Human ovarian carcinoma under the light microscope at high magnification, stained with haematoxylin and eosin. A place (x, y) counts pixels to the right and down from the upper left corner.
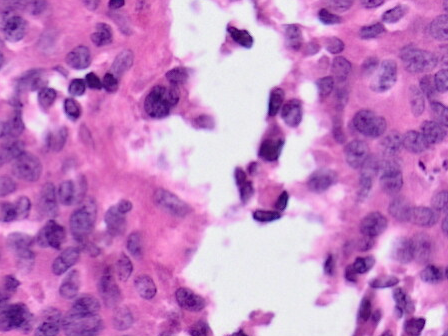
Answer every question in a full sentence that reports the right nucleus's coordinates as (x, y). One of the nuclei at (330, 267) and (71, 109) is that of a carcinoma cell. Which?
Located at (71, 109), this nucleus is the one belonging to a carcinoma cell.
